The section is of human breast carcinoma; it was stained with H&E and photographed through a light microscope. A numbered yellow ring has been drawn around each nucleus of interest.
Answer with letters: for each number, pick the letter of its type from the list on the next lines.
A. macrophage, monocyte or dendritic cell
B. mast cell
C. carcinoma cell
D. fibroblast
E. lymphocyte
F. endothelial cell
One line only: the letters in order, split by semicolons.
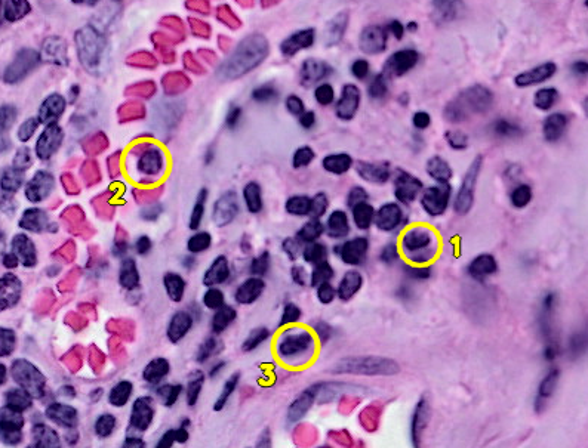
E; F; E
